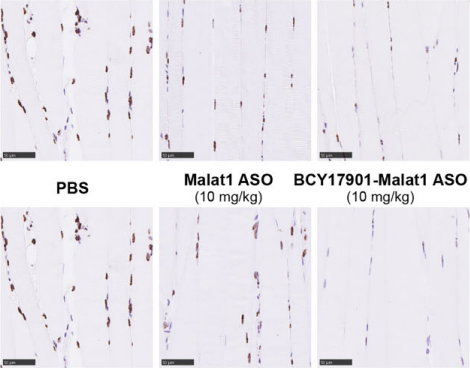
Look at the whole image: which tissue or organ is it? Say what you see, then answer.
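Long, parallel fibers with pale cytoplasm fill each frame. Elongated nuclei sit at the fiber margins.
Muscle.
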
